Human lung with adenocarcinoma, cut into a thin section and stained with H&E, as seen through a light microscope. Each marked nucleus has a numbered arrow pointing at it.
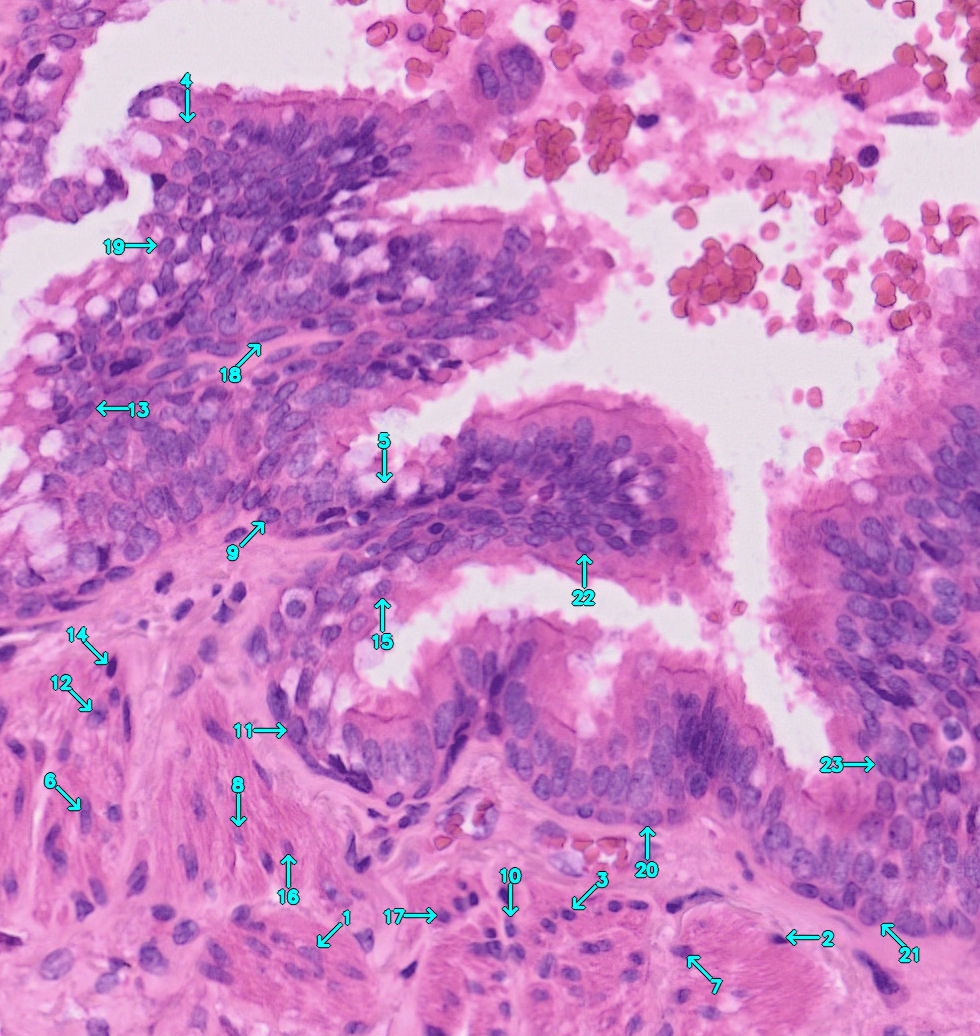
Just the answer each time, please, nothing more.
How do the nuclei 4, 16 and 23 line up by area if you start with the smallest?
16, 4, 23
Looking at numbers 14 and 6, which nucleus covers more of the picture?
6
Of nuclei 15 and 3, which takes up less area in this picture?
3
